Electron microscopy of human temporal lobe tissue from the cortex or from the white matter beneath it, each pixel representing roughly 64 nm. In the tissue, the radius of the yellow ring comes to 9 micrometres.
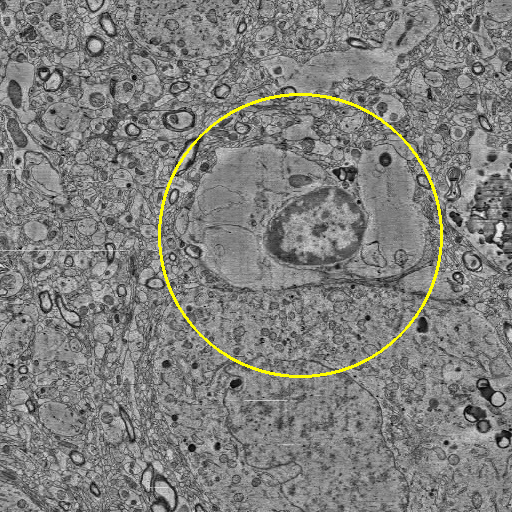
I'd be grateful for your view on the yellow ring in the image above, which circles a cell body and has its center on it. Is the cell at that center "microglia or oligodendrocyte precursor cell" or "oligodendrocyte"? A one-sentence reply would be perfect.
The cell at the center of the yellow ring is a microglial cell or oligodendrocyte precursor cell.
